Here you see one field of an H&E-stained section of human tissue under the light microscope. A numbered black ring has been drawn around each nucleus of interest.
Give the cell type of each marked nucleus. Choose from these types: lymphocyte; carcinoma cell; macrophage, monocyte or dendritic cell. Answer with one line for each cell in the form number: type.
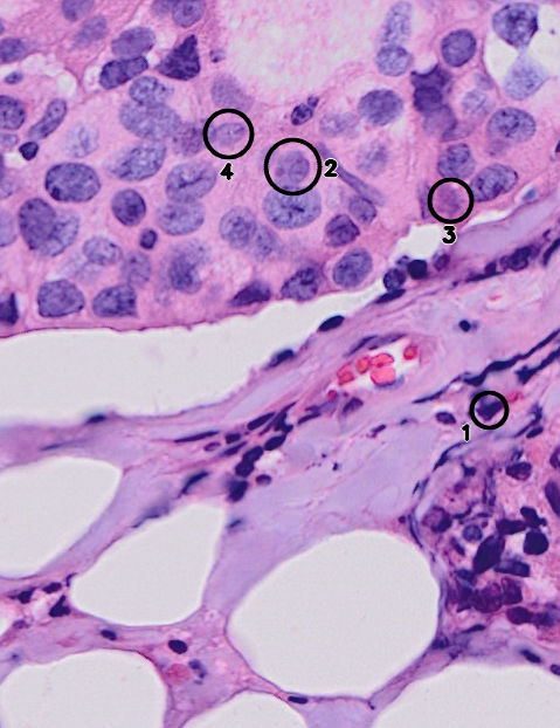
1: lymphocyte
2: carcinoma cell
3: carcinoma cell
4: carcinoma cell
